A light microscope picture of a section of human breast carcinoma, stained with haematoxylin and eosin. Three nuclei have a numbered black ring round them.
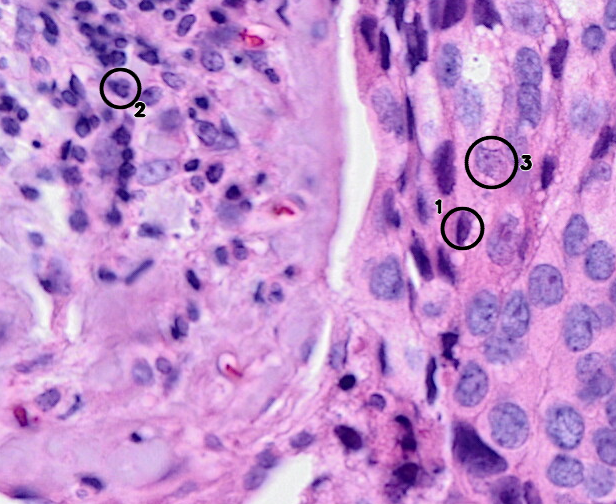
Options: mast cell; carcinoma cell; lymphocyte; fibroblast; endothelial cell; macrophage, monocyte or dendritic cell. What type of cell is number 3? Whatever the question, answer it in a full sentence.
Recognised here as a carcinoma cell is the cell numbered 3.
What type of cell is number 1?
It is as a carcinoma cell that the cell numbered 1 is identified.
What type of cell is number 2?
The cell that bears the number 2 is a lymphocyte.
